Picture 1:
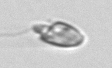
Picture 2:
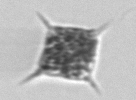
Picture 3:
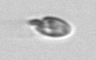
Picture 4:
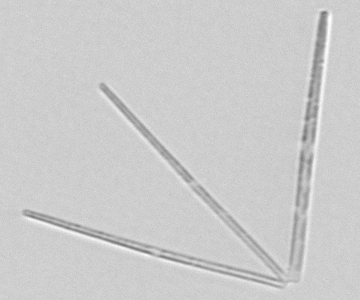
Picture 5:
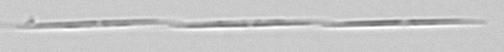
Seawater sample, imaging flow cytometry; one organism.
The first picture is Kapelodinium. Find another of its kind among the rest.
Picture 3.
